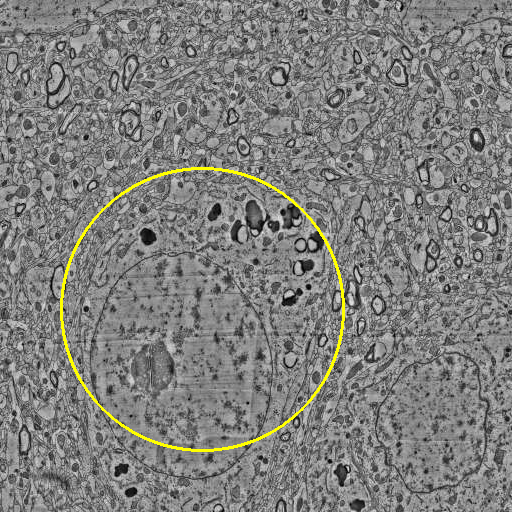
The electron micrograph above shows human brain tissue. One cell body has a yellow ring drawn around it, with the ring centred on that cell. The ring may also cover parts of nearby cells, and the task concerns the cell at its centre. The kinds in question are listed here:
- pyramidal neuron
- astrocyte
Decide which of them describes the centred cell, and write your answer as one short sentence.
The centred cell is a pyramidal neuron.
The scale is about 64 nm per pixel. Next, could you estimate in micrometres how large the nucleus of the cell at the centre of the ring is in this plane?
In this plane the nucleus spans approximately 15 by 11 micrometers.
